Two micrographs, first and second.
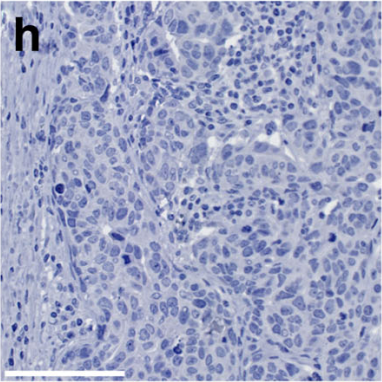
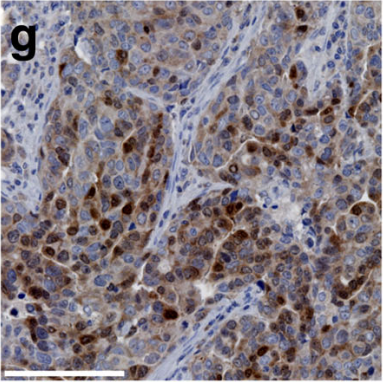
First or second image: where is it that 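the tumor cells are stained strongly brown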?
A: The second image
